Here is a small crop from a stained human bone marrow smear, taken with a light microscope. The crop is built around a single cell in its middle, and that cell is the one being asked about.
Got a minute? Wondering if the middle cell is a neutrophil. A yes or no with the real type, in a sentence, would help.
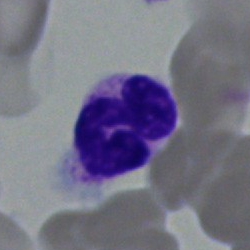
Yes, the cell at the middle is a neutrophil.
